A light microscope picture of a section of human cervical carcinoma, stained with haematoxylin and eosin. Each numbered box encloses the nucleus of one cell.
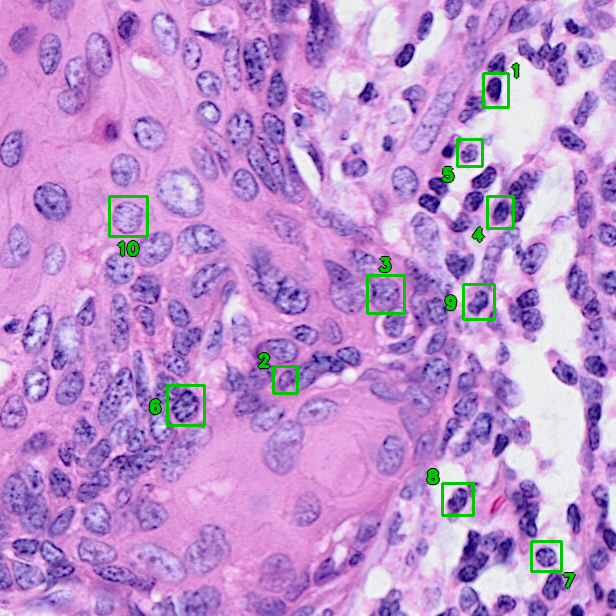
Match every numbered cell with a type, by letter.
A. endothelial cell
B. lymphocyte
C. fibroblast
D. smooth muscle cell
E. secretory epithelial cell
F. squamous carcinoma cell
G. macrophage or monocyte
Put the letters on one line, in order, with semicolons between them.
B; F; F; B; B; F; B; B; B; F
